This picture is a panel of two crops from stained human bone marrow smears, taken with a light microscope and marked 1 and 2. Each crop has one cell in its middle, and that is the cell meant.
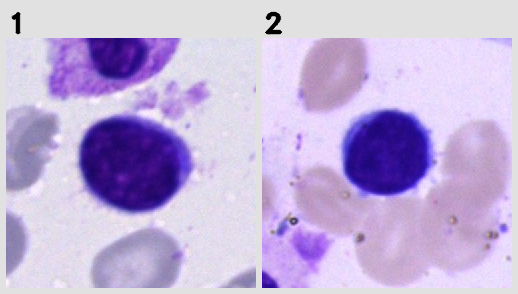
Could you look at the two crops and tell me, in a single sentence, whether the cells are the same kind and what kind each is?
Yes, the two crops show lymphocytes at their centres.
